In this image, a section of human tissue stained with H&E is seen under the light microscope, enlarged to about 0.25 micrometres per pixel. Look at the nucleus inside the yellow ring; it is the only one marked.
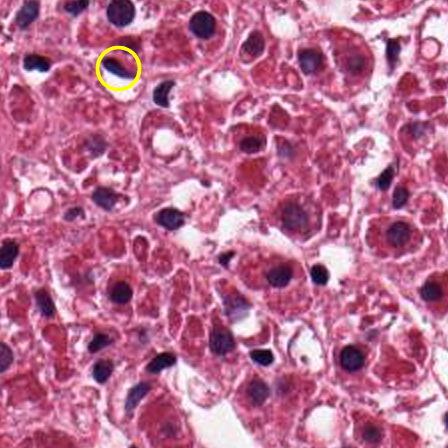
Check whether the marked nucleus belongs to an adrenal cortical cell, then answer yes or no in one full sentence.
No, what carries the marked nucleus is a supporting cell rather than an adrenal cortical cell.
